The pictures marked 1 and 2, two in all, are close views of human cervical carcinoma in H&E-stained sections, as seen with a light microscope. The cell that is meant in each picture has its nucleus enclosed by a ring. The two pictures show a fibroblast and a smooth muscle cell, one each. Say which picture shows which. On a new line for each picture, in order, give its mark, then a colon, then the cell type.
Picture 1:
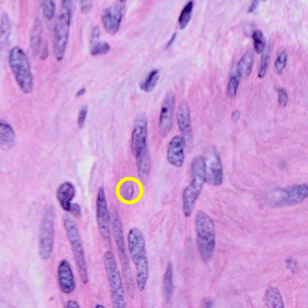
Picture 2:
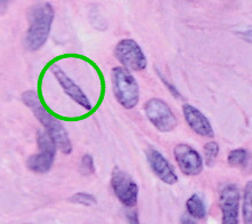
1: smooth muscle cell
2: fibroblast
